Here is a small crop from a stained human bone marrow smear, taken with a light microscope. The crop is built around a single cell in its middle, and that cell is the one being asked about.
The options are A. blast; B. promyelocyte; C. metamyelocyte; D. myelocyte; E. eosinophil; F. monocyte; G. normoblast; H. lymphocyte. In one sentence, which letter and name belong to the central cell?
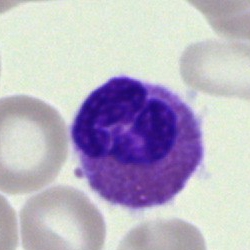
That middle cell is an eosinophil, and option E is therefore correct.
